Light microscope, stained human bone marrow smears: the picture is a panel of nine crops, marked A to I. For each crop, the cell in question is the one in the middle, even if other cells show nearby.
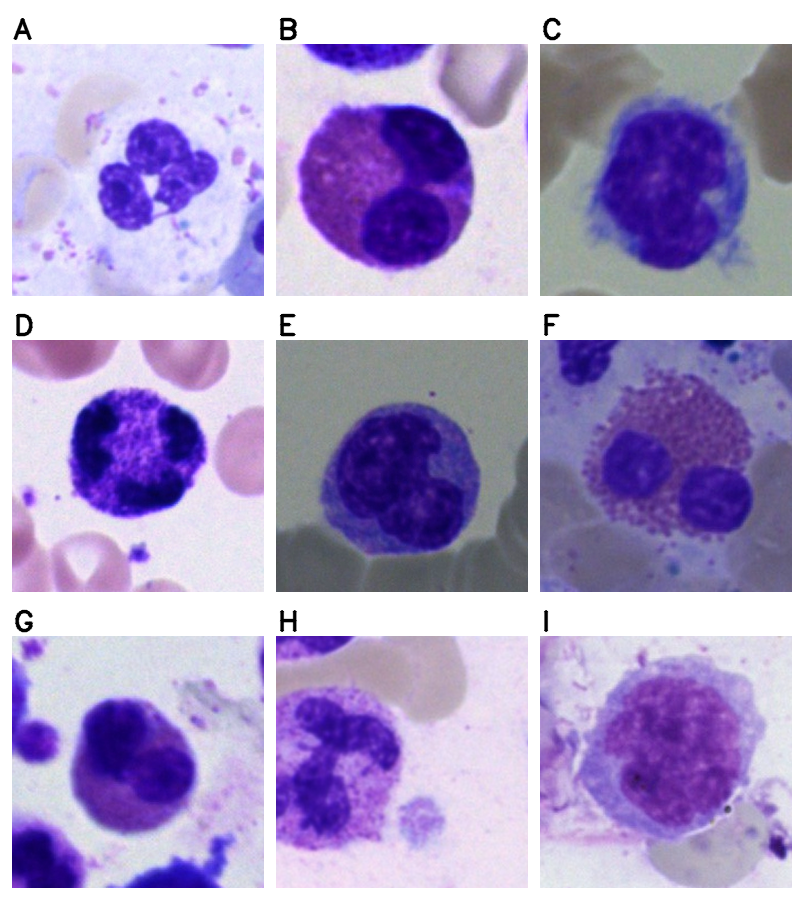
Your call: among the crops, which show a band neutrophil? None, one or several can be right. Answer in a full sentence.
Not one of the crops contains a band neutrophil at its centre.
